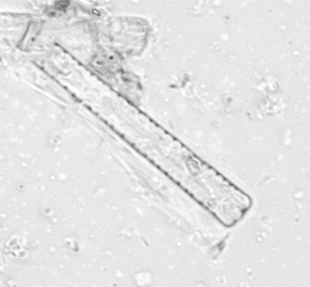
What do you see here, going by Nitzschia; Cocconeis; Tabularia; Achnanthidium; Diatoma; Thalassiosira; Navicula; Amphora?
I see Diatoma.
